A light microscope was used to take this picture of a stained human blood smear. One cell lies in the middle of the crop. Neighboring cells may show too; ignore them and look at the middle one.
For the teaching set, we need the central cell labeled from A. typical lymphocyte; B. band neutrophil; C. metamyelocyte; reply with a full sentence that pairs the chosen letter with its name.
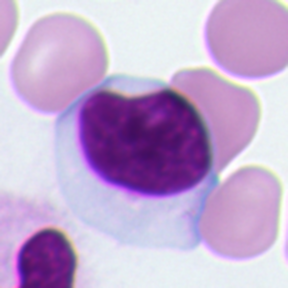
The cell shown centrally is a typical lymphocyte; option A is the correct option.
